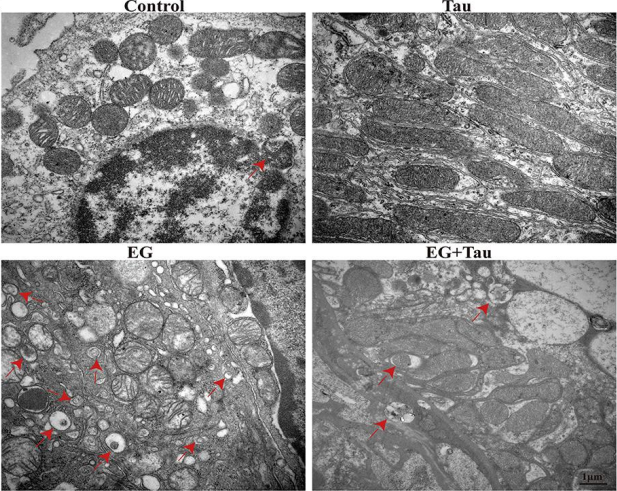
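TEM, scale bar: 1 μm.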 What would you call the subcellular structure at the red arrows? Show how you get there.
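Autophagic vacuoles. The red arrows point to small round membrane-bound compartments in the cytoplasm. Several of the marked compartments contain pale or dense inner material. The marked compartments lie among mitochondria with visible cristae.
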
